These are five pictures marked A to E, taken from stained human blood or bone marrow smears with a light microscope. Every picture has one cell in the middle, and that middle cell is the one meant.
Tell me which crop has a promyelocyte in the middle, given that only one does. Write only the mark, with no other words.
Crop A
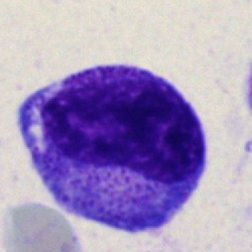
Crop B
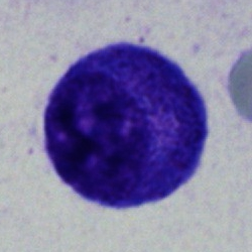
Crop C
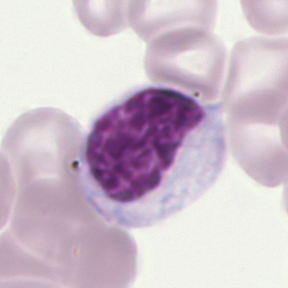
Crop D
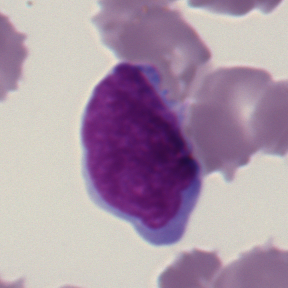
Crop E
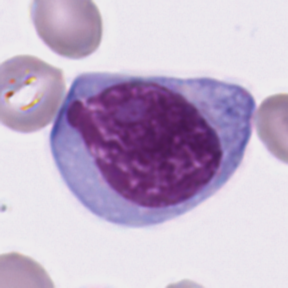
B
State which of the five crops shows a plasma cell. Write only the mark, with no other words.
E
